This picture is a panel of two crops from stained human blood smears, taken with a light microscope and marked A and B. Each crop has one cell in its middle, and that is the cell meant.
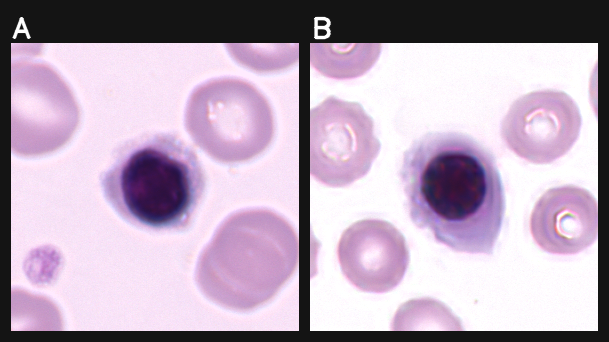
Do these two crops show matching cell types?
yes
